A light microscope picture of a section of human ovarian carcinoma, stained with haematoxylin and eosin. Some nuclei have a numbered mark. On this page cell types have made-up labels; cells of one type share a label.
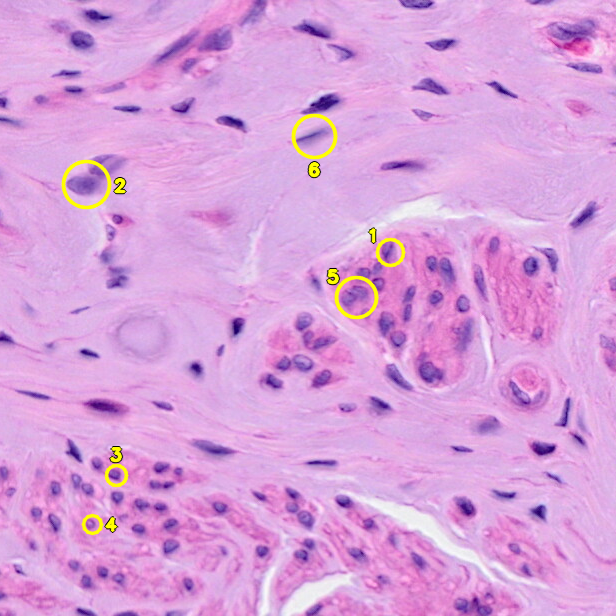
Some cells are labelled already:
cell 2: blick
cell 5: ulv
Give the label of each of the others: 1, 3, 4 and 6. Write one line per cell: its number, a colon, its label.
1: ulv
3: ulv
4: ulv
6: blick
